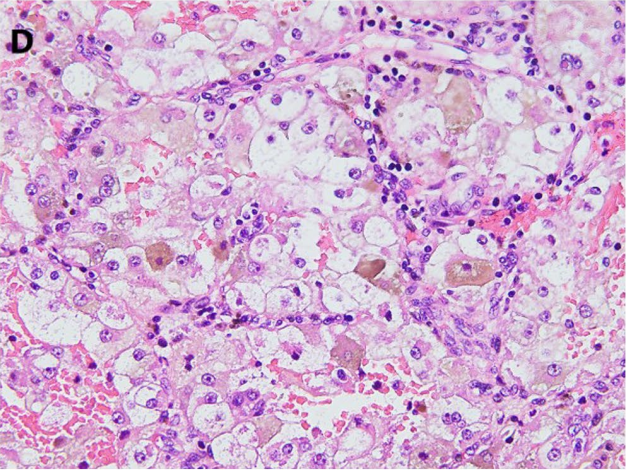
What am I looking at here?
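Large polygonal epithelioid tumor cells are packed in nests separated by thin septa lined by small dark elongated nuclei and accompanied by red blood cells. The cells have round nuclei, often with a visible nucleolus, and mildly varying nuclear size. Their cytoplasm is either clear and vacuolated or pink and granular, and some cells contain brown material.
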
